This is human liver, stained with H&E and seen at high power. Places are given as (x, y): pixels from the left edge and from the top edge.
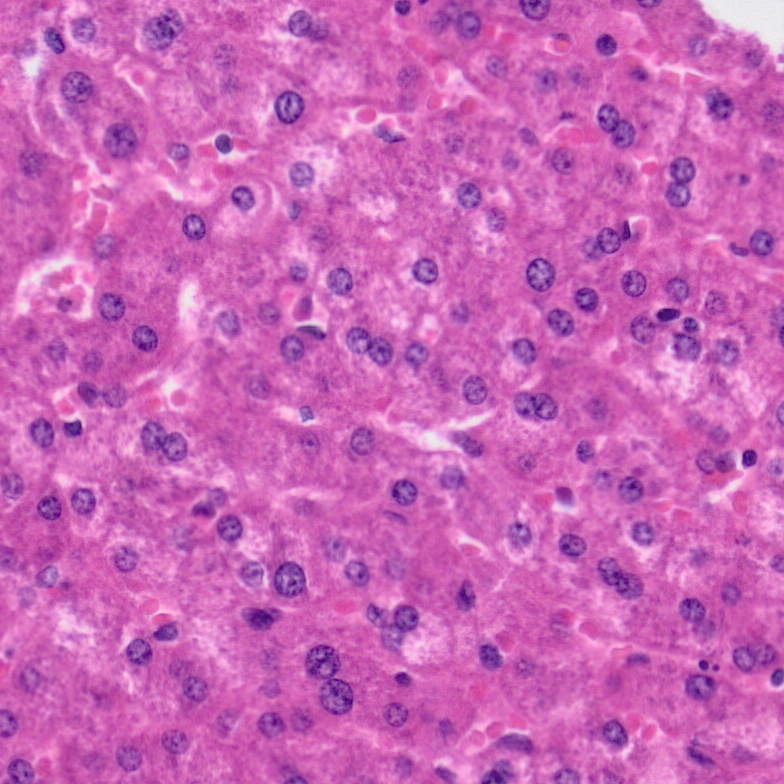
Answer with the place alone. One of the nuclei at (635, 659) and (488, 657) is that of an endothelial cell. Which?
(635, 659)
